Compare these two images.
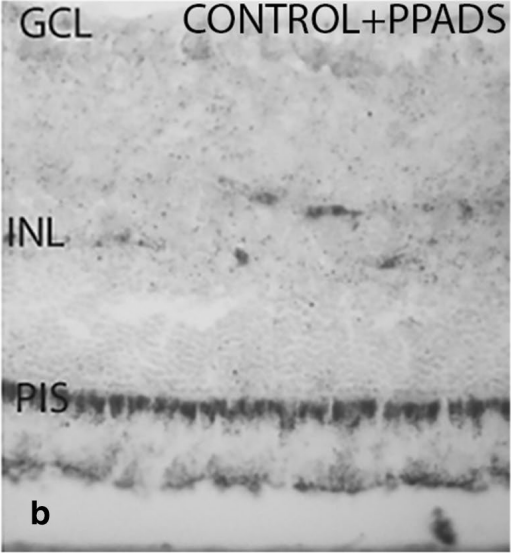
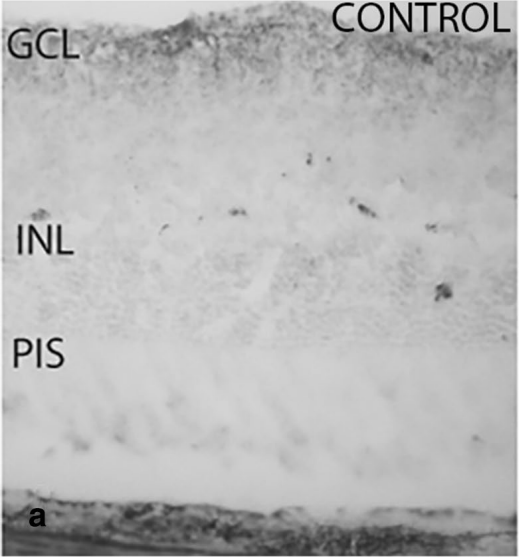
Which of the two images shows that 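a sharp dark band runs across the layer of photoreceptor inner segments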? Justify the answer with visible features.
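Second image: the band between the inner nuclear layer and the dark bottom edge is pale and diffuse, with no distinct dark line.
Conclusion: the first image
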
